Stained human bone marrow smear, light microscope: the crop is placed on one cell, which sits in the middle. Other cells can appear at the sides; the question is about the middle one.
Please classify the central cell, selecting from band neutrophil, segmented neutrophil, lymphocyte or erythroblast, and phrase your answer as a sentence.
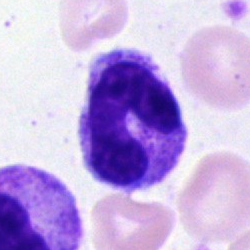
In the centre of this crop there is a band neutrophil.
